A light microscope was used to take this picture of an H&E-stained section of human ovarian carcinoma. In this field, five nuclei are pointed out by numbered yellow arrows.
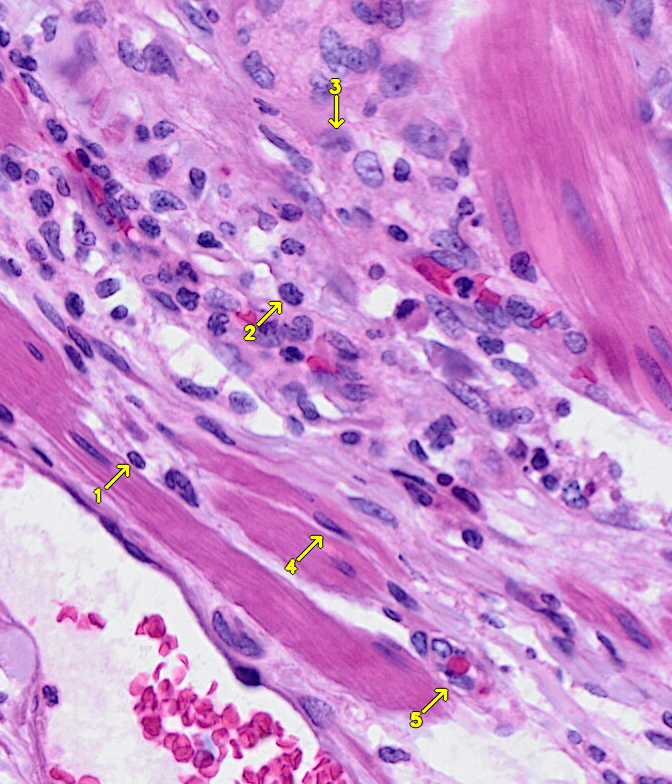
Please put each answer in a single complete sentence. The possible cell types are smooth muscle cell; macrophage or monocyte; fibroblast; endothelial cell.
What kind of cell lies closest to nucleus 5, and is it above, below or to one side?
Just above nucleus 5 lies the nearest nucleus, which belongs to an endothelial cell.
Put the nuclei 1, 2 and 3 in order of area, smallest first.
From smallest to largest, the order is 1, 2, 3.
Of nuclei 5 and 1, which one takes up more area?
Of the two, number 5 is bigger and takes up about 2 times the area of number 1.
